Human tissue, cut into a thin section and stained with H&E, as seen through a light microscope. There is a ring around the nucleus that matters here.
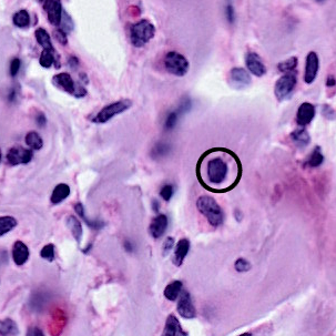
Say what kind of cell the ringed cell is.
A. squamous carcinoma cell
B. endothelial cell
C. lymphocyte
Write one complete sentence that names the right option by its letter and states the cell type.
Right answer, option C: the ringed cell is a lymphocyte.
